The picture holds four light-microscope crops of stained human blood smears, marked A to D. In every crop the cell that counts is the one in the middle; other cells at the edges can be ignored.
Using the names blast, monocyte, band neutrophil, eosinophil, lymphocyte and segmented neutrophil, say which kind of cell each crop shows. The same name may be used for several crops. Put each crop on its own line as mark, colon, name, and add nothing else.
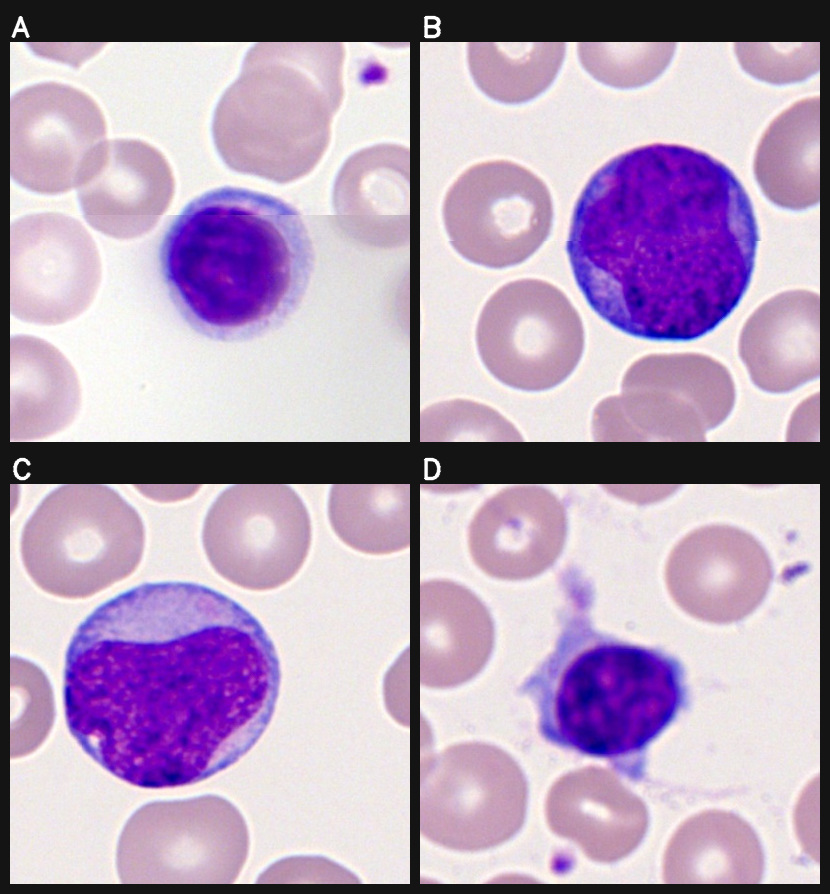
A: lymphocyte
B: blast
C: blast
D: lymphocyte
